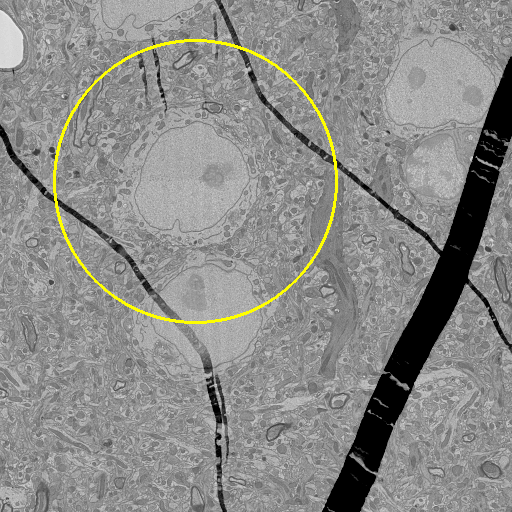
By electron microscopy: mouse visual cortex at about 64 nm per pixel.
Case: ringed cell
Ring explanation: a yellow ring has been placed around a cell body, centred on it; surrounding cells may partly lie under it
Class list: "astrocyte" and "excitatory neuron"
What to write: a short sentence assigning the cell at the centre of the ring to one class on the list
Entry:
The cell at the ring's centre is an excitatory neuron.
